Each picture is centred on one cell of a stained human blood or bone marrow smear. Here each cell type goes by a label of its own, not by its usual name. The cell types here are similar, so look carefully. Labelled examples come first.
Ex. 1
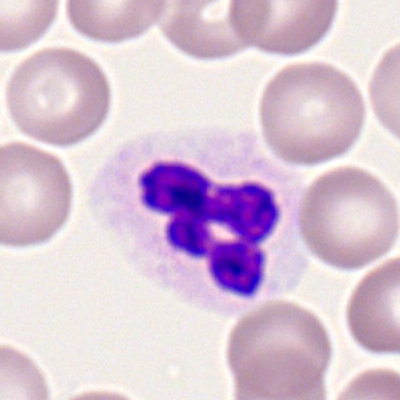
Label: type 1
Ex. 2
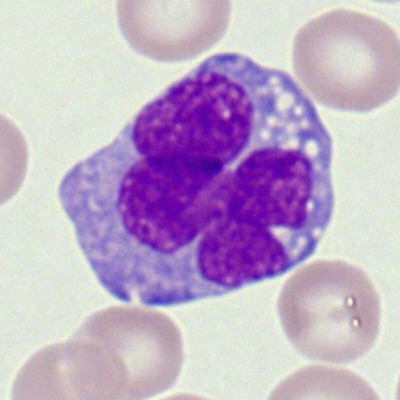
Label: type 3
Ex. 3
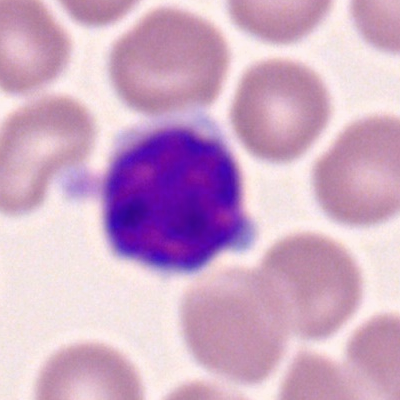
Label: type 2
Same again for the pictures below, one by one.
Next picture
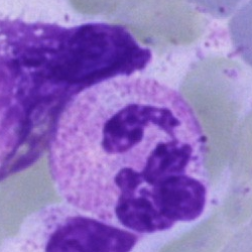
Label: type 1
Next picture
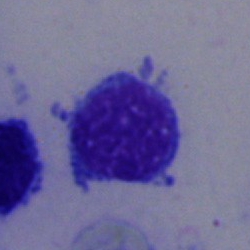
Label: type 2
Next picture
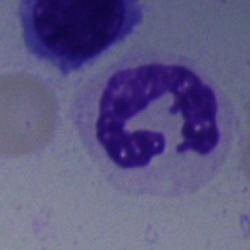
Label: type 1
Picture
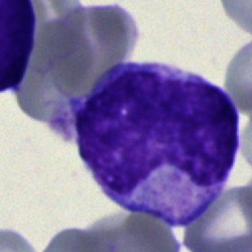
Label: type 3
